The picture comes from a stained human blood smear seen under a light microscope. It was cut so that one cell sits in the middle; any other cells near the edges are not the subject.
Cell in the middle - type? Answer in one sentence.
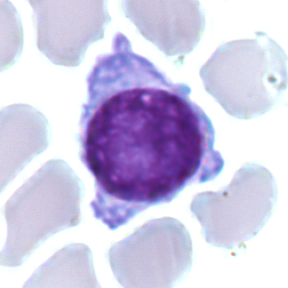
The cell centred in this crop is categorized as a plasma cell.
